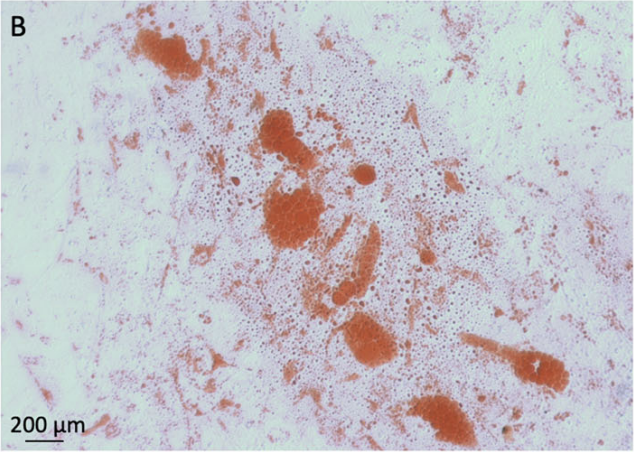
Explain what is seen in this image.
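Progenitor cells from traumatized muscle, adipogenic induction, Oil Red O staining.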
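Countless tiny round red dots are scattered across the dish, thickest in a band running diagonally through the middle. Toward the edges the field is pale, with only sparse red specks.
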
